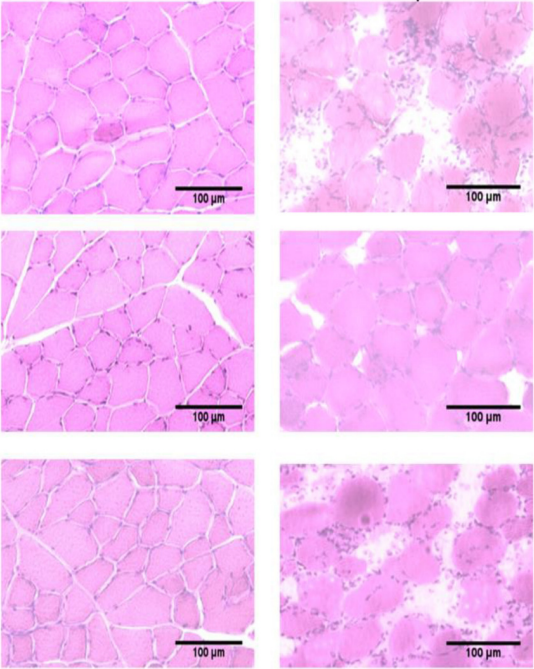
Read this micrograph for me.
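These are cross-sections of skeletal muscle, each fiber cut across as a pink polygon. Small dark nuclei sit at their edges, and only thin pale seams of interstitium run between them. In the upper and lower images of the right column the picture is abnormal. The fibers are rounded and pulled apart, and some are paler or more darkly and unevenly stained. Wide clear interstitial spaces lie between them, crowded with many small dark nuclei. The middle image of the right column looks much closer to the compact arrangement on the left.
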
